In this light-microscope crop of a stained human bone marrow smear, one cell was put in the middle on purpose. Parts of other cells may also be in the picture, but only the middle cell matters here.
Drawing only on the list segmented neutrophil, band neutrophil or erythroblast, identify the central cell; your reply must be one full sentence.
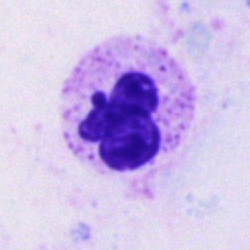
What sits at the centre of this crop is a segmented neutrophil.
